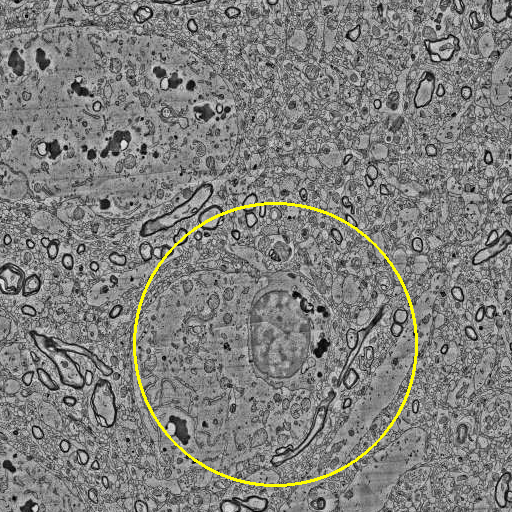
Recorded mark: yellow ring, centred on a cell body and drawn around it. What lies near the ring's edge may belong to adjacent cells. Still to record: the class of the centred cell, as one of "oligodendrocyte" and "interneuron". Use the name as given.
oligodendrocyte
